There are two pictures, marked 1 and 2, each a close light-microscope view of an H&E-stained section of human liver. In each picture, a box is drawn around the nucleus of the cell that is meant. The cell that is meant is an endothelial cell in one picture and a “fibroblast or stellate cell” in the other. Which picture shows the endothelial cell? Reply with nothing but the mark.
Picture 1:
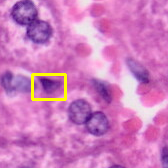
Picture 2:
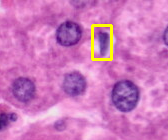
2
